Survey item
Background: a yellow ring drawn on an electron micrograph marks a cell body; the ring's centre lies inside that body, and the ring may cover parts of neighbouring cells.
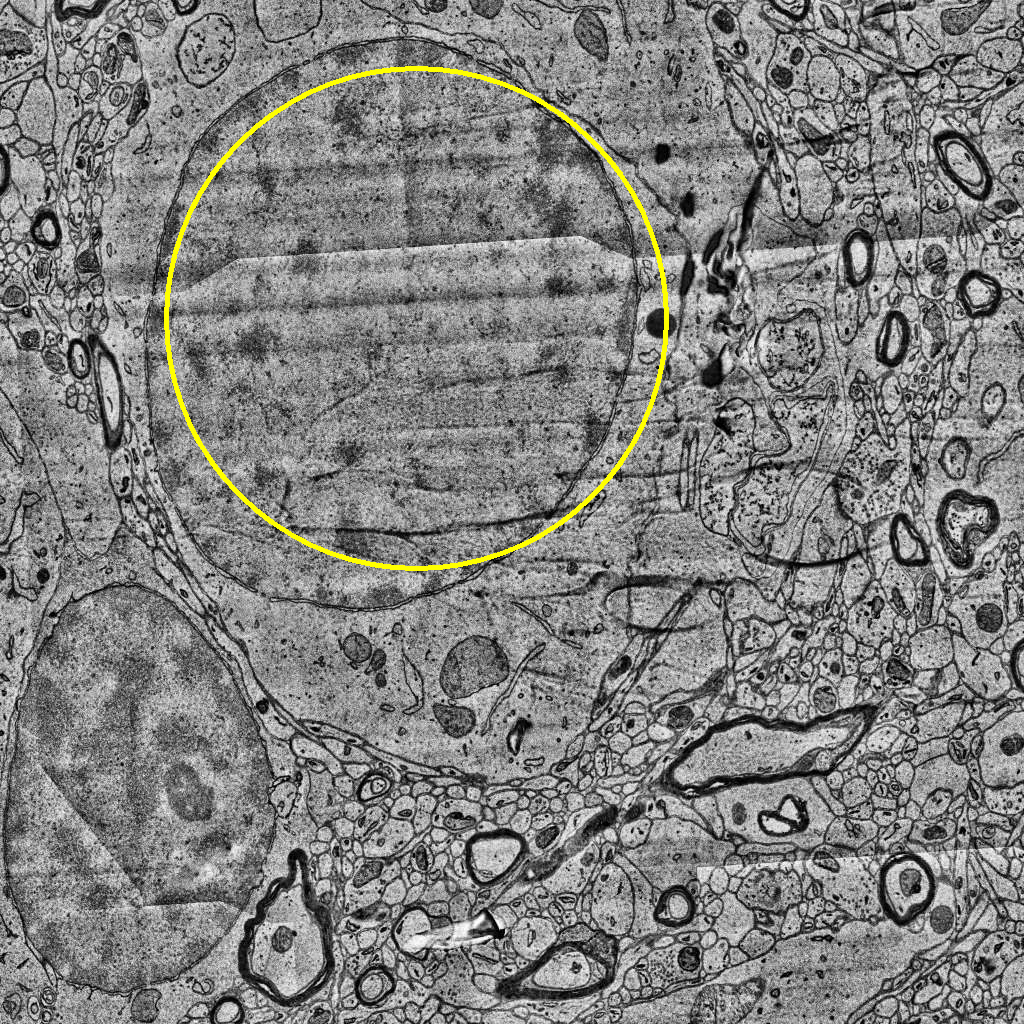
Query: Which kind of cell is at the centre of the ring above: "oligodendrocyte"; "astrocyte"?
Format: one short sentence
The cell in the middle of the ring is an astrocyte.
